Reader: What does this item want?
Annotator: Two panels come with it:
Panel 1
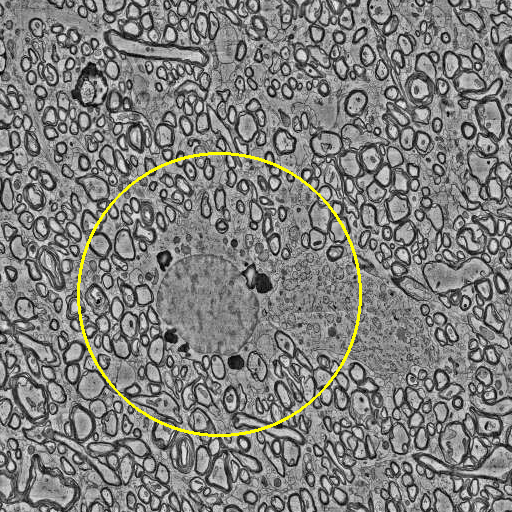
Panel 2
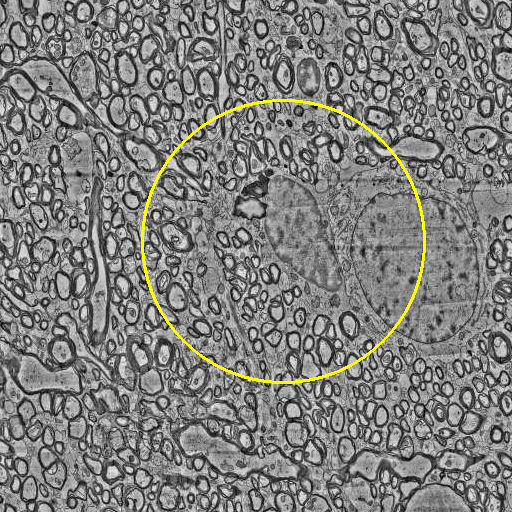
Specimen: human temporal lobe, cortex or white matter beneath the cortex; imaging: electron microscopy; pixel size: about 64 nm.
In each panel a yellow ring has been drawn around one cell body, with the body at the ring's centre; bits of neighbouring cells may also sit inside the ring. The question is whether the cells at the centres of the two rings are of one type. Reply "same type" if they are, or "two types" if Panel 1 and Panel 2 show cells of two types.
same type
